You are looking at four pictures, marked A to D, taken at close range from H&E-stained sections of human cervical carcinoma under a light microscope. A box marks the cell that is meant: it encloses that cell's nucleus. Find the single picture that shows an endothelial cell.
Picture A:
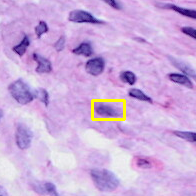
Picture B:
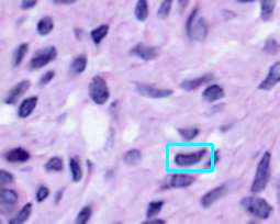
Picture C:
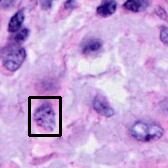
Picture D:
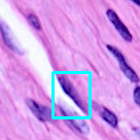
D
